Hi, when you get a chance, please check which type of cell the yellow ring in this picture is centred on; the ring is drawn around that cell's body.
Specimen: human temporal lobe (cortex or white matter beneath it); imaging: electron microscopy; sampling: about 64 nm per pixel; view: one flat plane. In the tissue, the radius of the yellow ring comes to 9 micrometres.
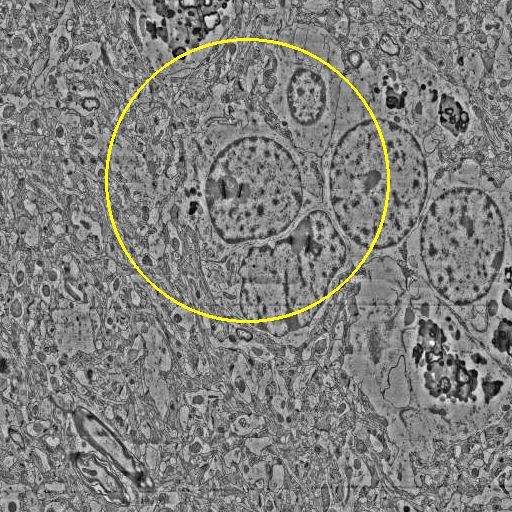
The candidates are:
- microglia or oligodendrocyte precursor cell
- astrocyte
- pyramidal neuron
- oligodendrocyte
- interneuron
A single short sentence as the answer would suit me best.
The ring is drawn around the body of an astrocyte.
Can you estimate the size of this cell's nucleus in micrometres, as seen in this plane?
Approximately 7 micrometres across in this plane.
